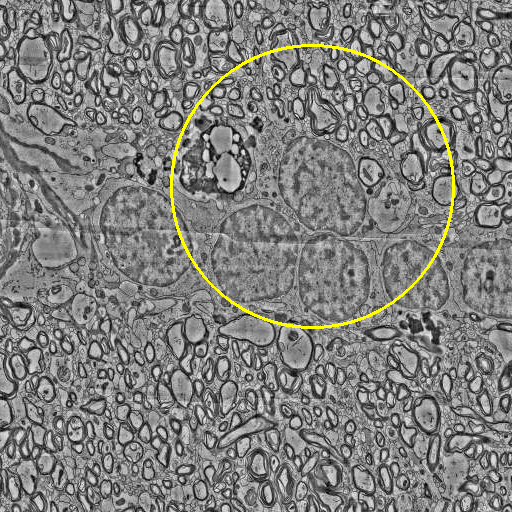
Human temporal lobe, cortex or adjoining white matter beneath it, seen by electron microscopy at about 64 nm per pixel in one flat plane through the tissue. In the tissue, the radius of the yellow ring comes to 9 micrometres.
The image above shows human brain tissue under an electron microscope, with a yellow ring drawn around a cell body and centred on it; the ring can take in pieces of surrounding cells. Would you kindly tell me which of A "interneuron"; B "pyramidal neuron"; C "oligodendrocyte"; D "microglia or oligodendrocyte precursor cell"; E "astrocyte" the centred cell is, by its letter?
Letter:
C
